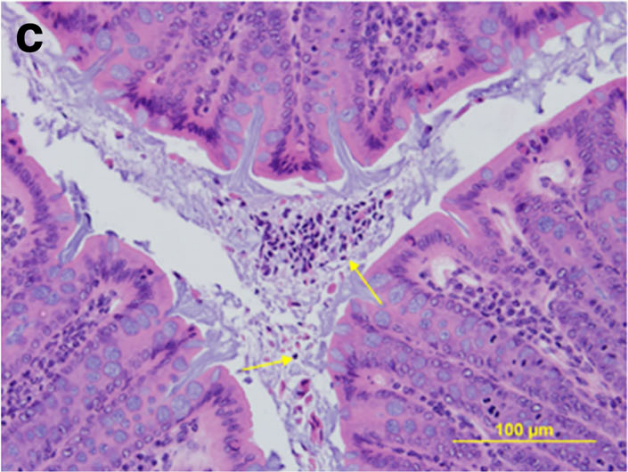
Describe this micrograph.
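Colonic mucosa in which folds lined by columnar epithelium with pink apical cytoplasm border a lumen containing pale bluish fibrillar material. Within this material lies a dense cluster of small cells with dark, irregular nuclei, with a few more scattered nearby. The crypts below are lined by columnar cells with oval nuclei.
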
